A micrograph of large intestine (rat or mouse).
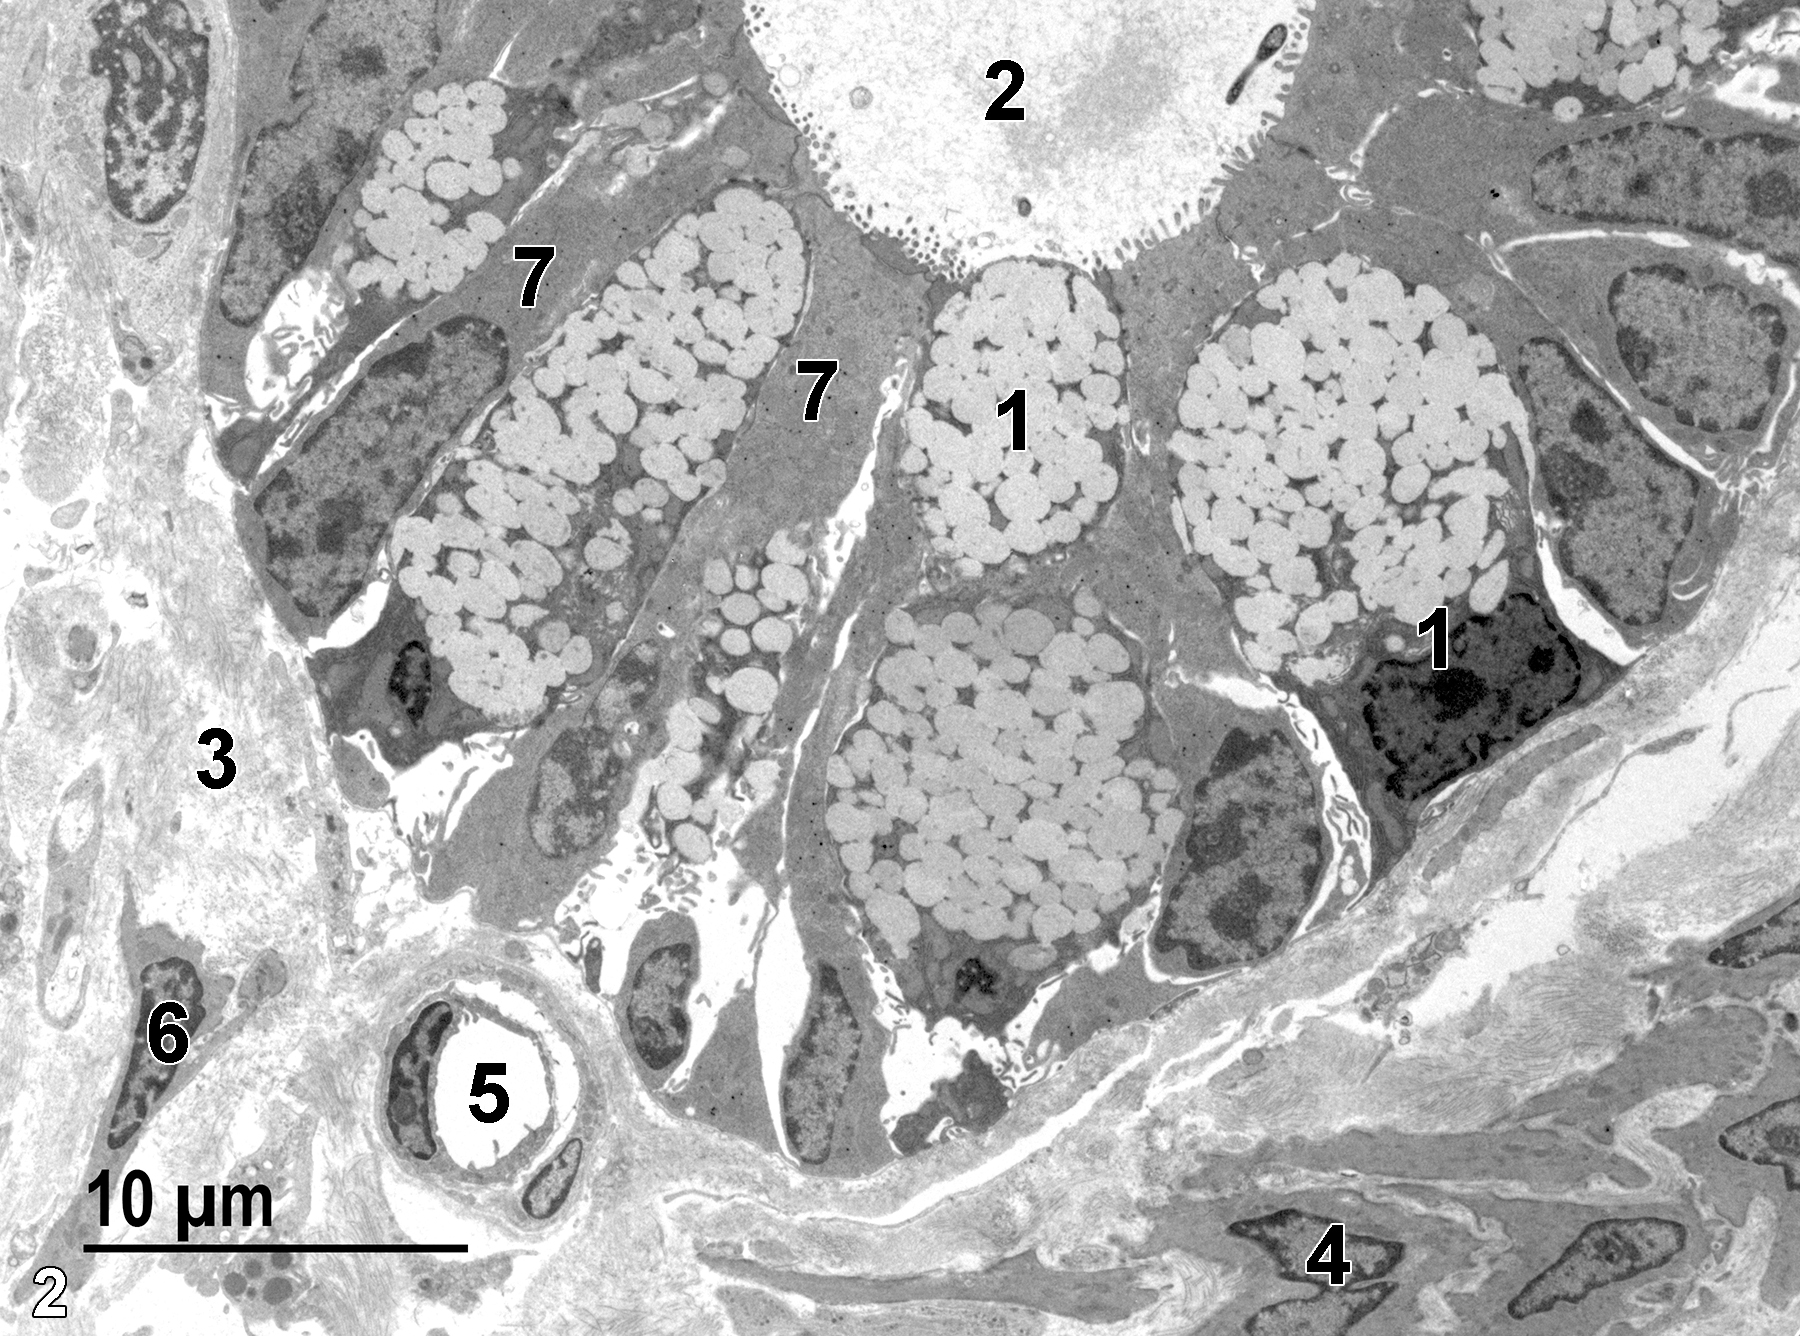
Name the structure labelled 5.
capillary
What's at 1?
Mucous cells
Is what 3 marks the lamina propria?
Yes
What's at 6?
The number 6 marks the fibroblasts.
